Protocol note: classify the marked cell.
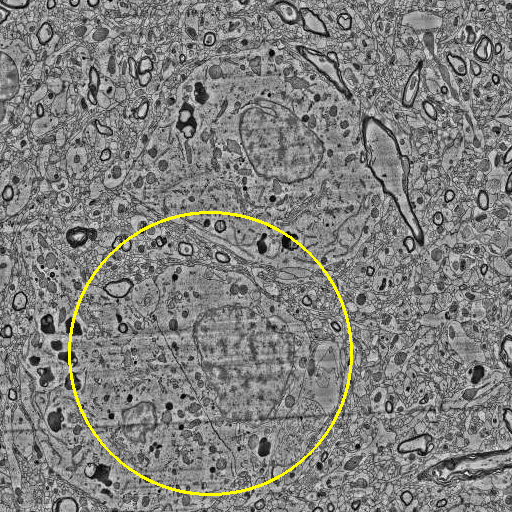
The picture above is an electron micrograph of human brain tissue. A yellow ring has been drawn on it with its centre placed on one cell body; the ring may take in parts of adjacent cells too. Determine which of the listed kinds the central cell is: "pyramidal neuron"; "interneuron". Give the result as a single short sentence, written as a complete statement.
The central cell is an interneuron.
